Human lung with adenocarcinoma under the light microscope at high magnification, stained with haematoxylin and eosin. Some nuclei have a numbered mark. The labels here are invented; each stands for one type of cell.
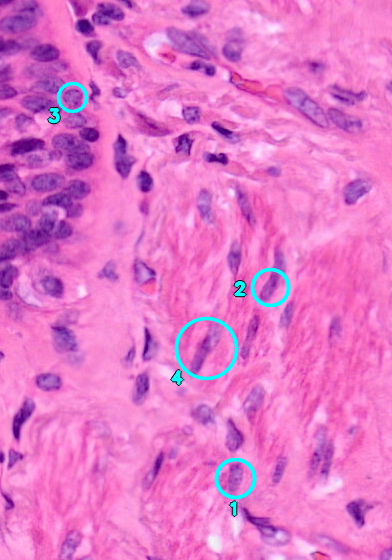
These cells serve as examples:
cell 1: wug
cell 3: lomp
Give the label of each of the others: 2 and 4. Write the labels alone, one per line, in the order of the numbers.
wug
wug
